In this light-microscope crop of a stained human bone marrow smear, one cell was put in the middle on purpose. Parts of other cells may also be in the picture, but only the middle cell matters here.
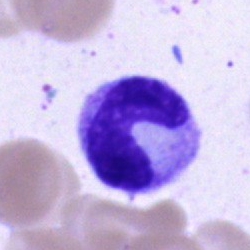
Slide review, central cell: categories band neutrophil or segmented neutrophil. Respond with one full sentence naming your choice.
Here the centrally located cell is a band neutrophil.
